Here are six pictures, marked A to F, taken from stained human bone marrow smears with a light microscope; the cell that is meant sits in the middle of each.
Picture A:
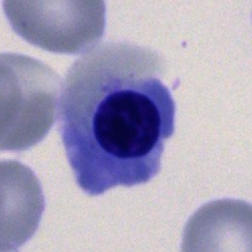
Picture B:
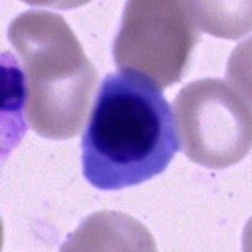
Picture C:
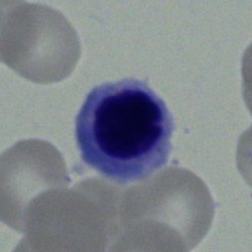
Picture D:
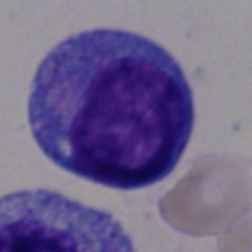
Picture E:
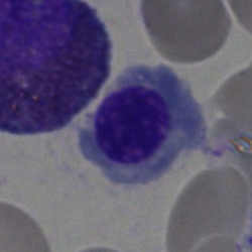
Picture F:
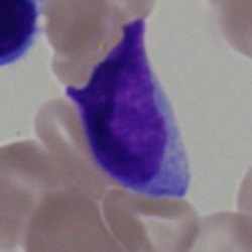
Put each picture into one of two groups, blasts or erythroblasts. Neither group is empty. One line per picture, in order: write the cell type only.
erythroblast
erythroblast
erythroblast
blast
erythroblast
blast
